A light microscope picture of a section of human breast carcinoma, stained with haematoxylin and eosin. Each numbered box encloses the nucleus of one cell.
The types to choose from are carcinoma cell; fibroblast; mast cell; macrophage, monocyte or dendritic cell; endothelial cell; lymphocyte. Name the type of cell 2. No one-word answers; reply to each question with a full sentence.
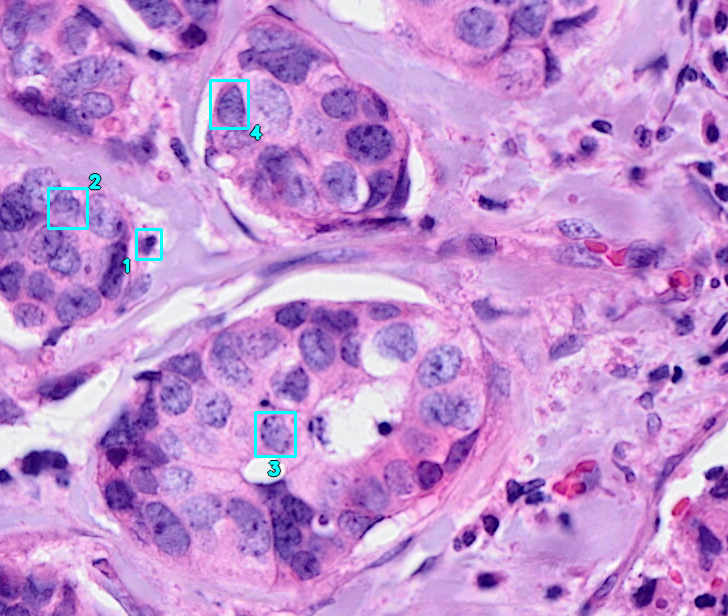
The cell indicated by marker 2 is a carcinoma cell in this section.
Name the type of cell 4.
The cell pointed out as number 4 is a carcinoma cell.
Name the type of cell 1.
The marked nucleus 1 is that of a lymphocyte.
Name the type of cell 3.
The cell pointed out by number 3 is a carcinoma cell.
